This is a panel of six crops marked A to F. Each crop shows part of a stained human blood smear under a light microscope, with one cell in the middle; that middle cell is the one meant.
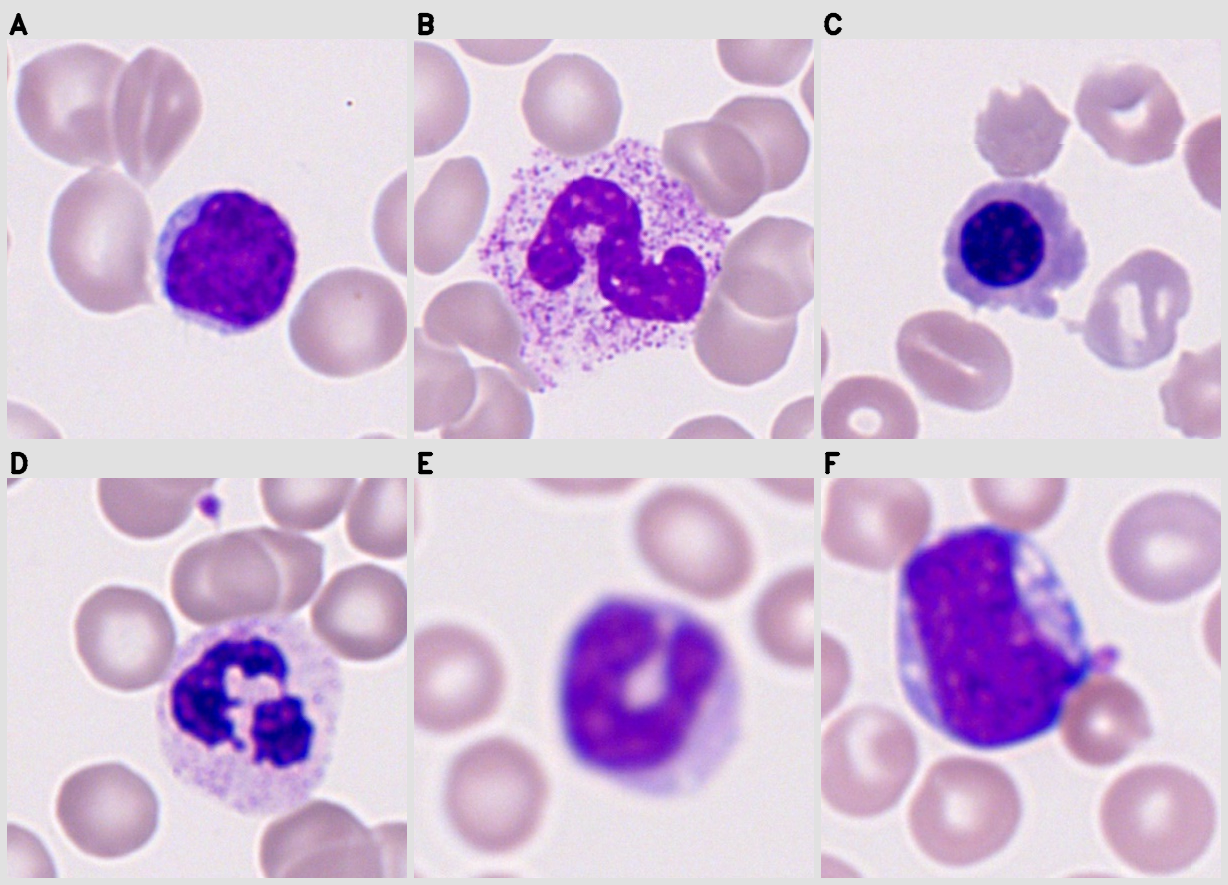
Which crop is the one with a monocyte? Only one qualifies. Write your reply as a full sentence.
So the crop with a monocyte at its center is crop E.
